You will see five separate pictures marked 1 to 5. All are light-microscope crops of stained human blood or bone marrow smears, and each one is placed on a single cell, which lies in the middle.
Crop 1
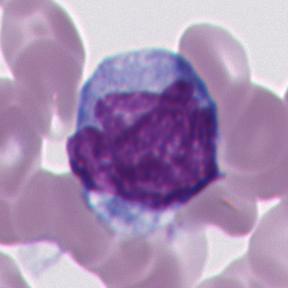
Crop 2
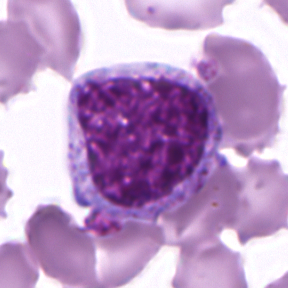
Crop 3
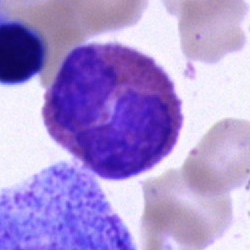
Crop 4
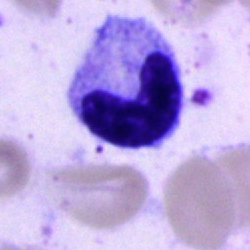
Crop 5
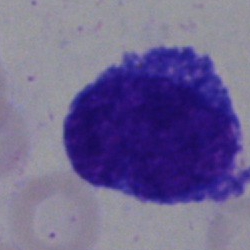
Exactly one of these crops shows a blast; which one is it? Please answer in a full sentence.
The crop in which a blast is shown is crop 5.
